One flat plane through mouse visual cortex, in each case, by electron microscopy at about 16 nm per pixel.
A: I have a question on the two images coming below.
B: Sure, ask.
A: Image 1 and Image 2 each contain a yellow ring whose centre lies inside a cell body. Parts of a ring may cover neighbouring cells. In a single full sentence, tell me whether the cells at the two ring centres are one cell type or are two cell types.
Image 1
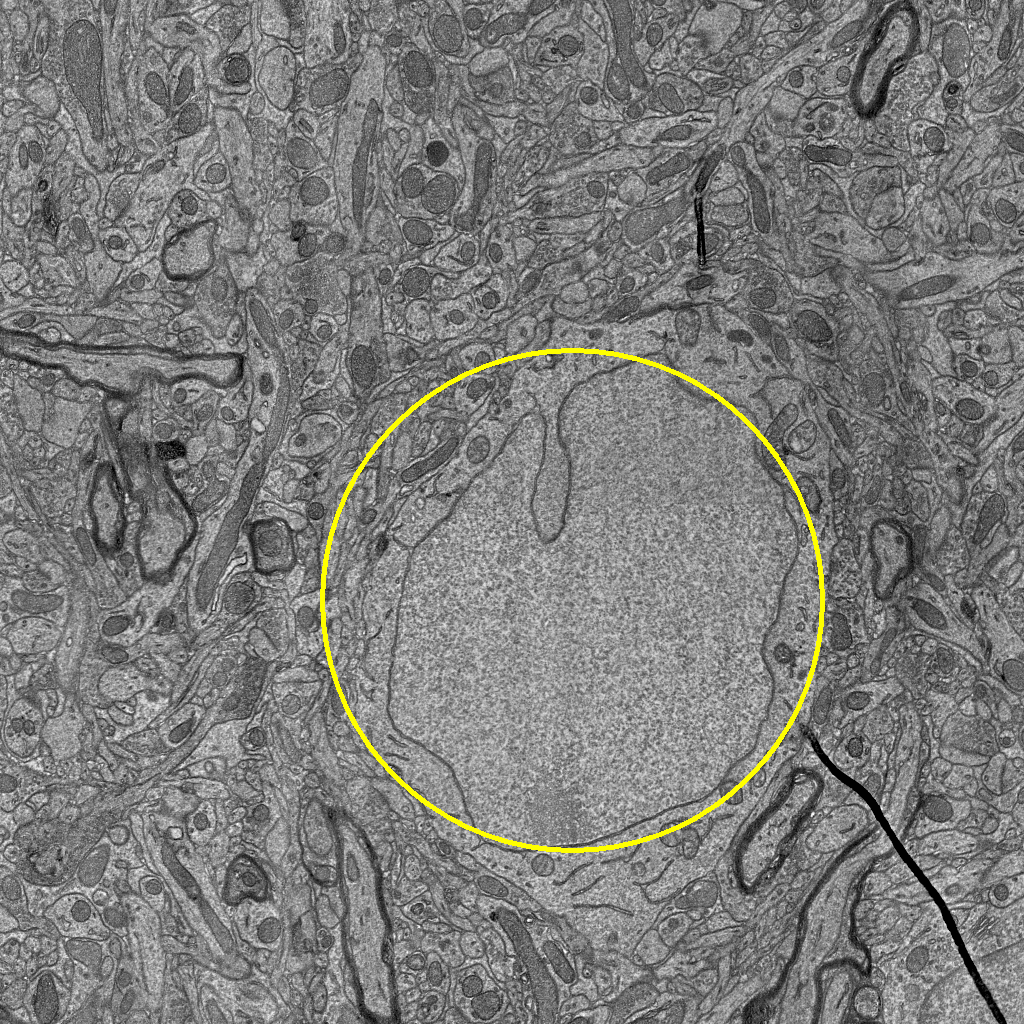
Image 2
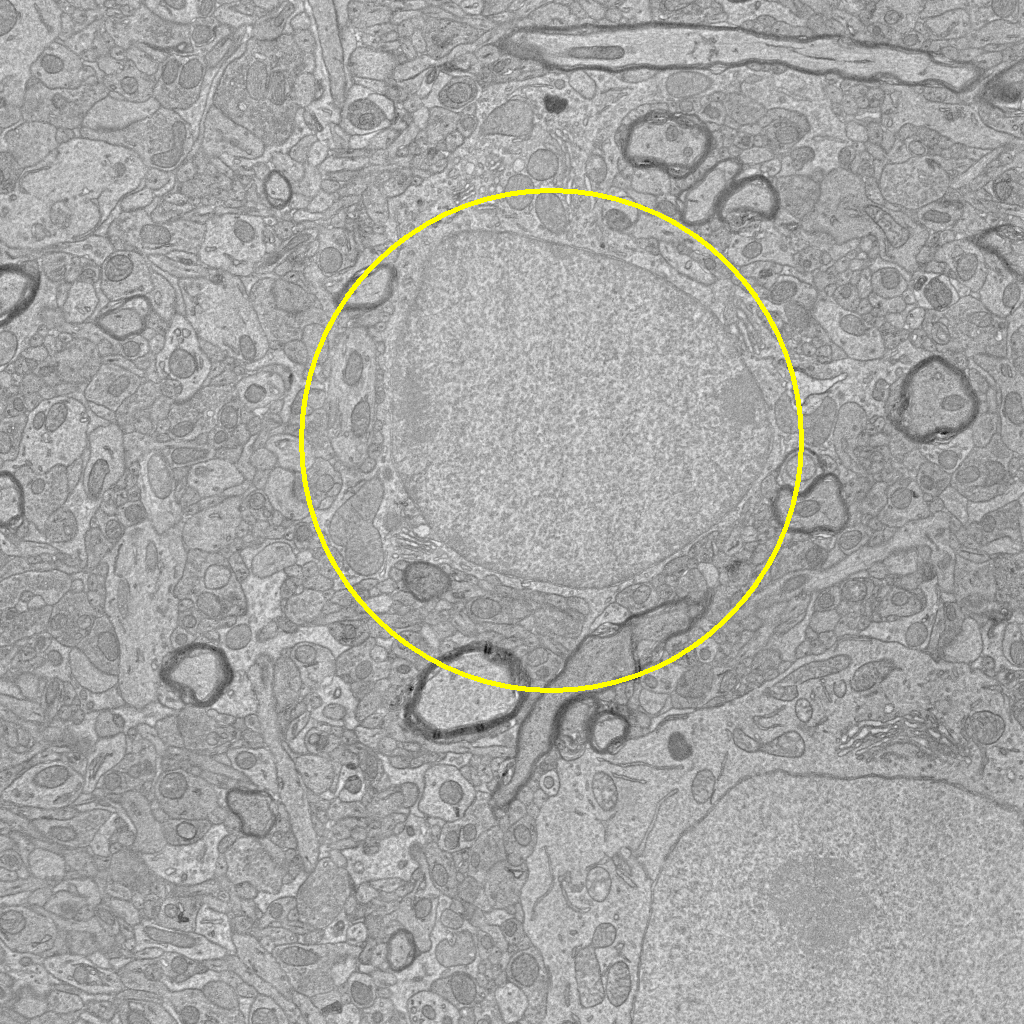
As for the ring-centre cells, the one in Image 1 and the one in Image 2 are two cell types.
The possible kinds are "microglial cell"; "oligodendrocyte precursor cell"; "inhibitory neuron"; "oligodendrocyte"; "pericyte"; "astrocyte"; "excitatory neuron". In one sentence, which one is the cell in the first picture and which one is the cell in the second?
Here the first cell is an excitatory neuron and the second cell is an astrocyte.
